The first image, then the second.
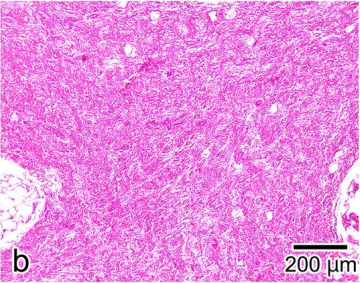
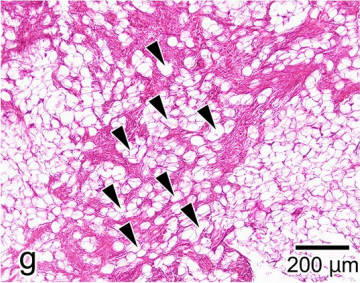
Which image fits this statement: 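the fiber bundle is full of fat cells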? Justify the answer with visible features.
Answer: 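Second image: many clear, thin-walled fat vacuoles fill the field between sparse pink strands. First image: densely packed pink fibers with hardly any clear vacuoles. So: the second image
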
